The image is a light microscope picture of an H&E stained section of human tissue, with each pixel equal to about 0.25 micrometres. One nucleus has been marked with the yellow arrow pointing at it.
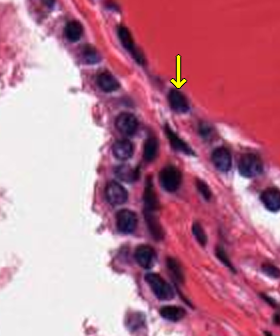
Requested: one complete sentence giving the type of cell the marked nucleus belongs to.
The mark in this picture falls on the nucleus of a thyroid follicular cell.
